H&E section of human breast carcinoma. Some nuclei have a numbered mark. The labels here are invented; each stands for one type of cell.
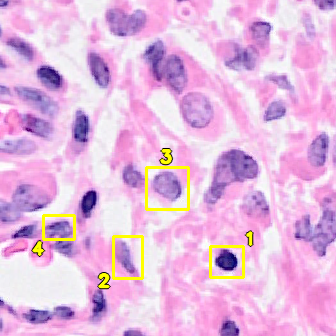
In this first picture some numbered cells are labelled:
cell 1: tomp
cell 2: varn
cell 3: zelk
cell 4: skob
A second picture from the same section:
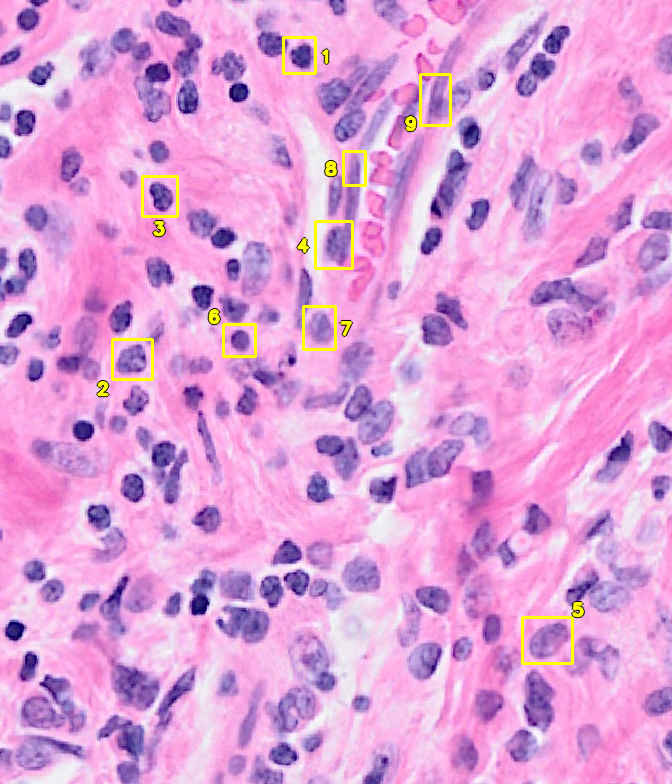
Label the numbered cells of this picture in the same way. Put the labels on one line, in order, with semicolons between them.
tomp; tomp; tomp; skob; zelk; tomp; skob; skob; skob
